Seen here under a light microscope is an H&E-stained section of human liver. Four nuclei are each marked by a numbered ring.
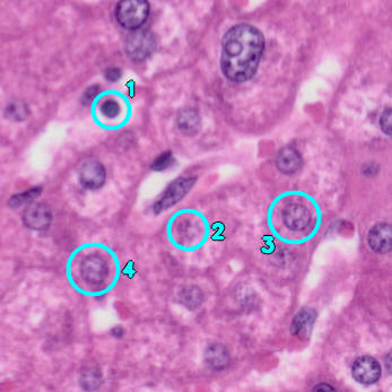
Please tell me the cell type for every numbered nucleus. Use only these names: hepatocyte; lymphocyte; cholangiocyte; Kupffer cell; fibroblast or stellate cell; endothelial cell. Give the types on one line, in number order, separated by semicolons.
lymphocyte; hepatocyte; hepatocyte; hepatocyte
